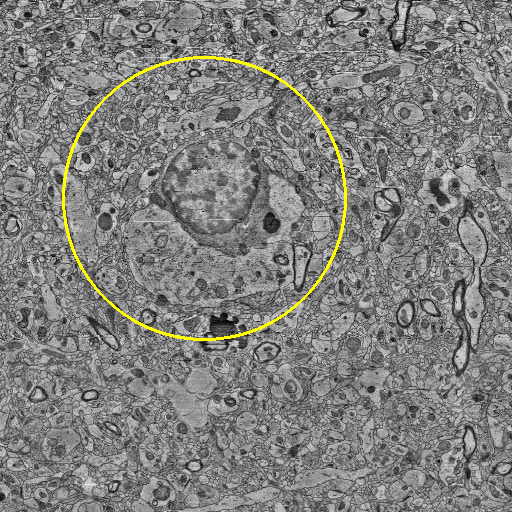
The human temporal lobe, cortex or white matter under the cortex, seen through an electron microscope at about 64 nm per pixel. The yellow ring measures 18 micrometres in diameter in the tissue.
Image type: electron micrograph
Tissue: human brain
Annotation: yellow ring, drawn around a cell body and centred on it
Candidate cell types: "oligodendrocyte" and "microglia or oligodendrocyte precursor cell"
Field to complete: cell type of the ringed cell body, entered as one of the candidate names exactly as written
oligodendrocyte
